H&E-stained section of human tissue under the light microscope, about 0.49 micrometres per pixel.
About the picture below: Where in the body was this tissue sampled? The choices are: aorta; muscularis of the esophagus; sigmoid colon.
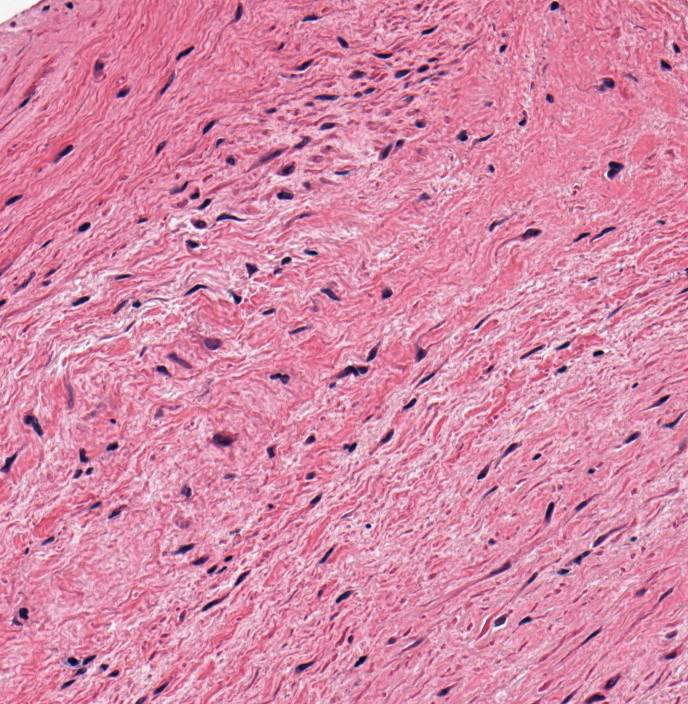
aorta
